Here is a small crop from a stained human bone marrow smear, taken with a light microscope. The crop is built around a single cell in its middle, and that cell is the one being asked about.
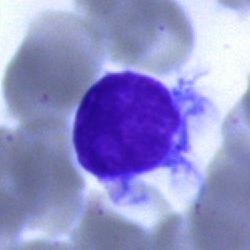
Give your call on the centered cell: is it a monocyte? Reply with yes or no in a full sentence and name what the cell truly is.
No, the cell in the middle is a hairy cell, not a monocyte.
